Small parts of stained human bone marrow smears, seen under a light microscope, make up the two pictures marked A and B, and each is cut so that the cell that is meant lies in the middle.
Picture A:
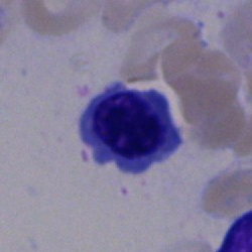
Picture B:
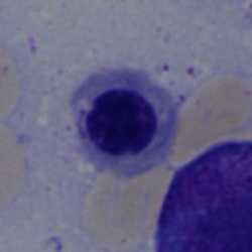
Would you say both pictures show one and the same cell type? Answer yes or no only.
yes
